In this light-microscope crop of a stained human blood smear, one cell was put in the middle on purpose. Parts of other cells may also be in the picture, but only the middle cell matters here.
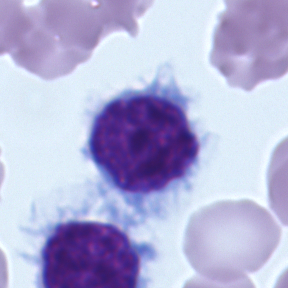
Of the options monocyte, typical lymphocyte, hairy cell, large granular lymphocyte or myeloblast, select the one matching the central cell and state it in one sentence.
Centrally within this crop lies a hairy cell.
